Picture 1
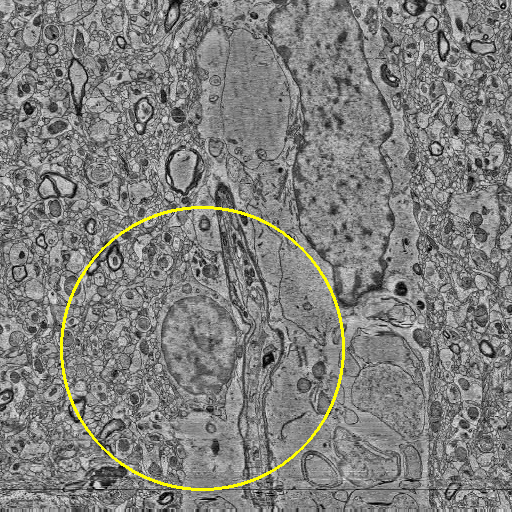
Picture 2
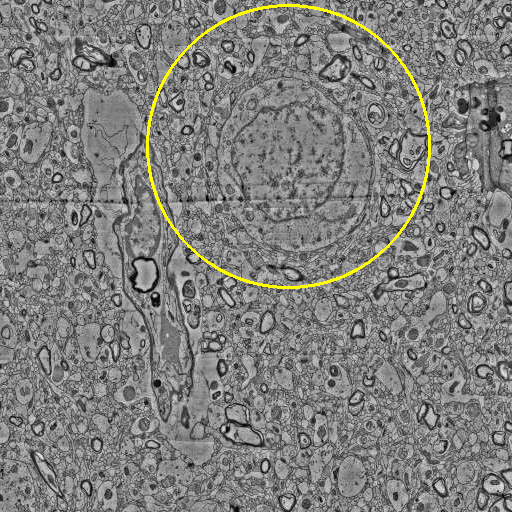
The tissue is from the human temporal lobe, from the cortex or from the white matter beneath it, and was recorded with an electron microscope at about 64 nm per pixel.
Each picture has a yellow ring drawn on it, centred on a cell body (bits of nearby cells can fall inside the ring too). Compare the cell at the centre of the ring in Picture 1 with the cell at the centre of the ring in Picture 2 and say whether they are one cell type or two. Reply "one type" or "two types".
two types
